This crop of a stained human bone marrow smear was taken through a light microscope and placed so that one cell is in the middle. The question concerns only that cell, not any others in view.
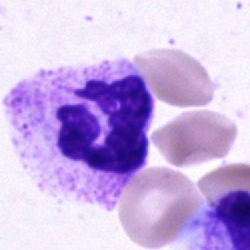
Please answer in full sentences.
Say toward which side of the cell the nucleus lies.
The nucleus sits off-centre, toward the right.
